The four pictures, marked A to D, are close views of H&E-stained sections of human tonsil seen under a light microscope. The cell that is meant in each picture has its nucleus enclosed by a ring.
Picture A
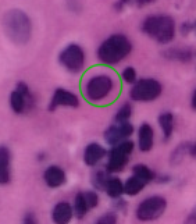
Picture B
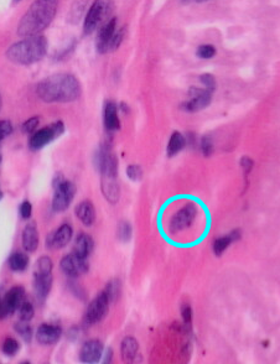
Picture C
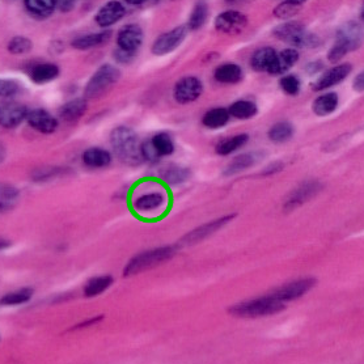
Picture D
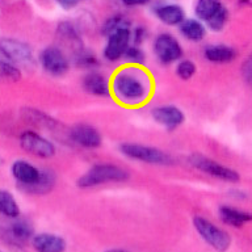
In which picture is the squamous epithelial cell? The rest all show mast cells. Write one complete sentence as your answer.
The squamous epithelial cell is the one in picture A.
